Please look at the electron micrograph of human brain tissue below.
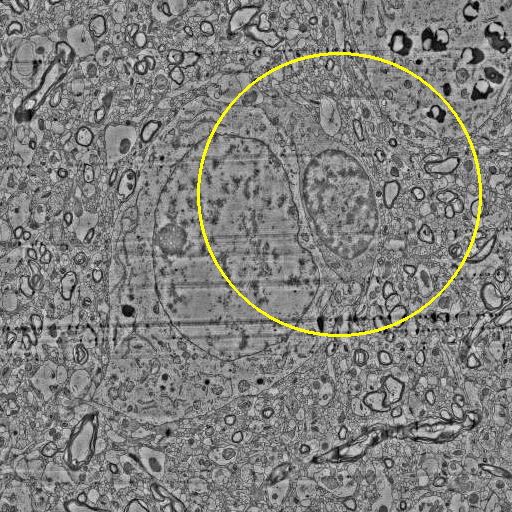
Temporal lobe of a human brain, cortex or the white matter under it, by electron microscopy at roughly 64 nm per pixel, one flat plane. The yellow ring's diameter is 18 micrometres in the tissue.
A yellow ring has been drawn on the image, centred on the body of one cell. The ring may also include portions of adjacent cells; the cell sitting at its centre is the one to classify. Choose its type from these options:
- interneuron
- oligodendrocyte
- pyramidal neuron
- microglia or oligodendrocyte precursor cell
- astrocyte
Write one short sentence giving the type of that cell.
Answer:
The cell in the middle of the ring is an oligodendrocyte.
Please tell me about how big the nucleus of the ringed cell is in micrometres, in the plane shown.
Clearly longer than it is wide in this plane, the nucleus measures roughly 7 by 4 micrometres.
